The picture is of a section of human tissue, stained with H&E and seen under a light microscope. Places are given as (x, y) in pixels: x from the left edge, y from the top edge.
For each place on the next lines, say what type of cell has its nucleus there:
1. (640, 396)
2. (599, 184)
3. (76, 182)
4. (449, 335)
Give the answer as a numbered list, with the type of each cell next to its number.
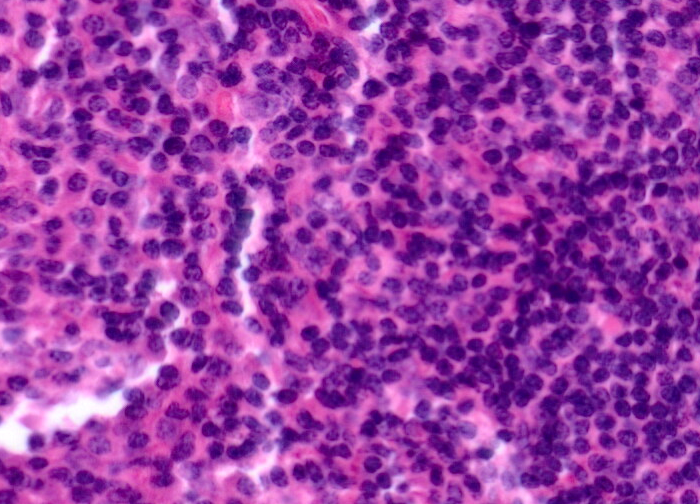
1. small lymphocyte
2. small lymphocyte
3. plasma cell
4. small lymphocyte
